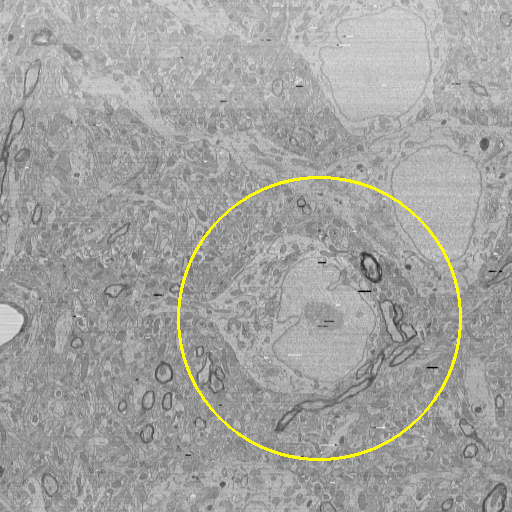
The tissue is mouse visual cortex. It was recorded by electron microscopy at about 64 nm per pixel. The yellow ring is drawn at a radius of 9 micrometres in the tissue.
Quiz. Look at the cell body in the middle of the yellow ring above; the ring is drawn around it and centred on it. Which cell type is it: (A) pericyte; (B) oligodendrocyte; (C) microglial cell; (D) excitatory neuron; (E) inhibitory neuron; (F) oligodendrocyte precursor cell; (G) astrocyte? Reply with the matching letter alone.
E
